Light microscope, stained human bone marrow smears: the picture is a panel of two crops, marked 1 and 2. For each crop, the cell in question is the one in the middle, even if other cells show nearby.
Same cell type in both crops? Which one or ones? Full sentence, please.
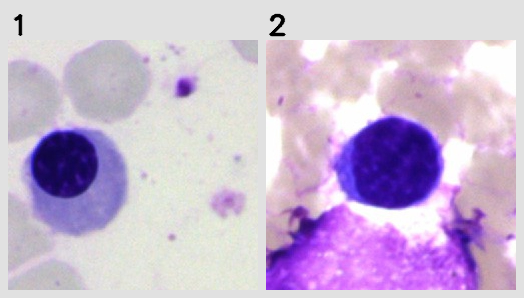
No, crop 1 is of an erythroblast, and crop 2 is of a lymphocyte.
